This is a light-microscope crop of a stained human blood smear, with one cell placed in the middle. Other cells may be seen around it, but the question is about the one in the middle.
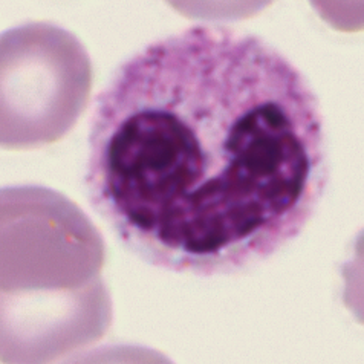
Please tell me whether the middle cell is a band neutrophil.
yes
